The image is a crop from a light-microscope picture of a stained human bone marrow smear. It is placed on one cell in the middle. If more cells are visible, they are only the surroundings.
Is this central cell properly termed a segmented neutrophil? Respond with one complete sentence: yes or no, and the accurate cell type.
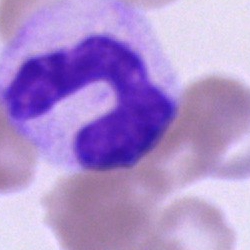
No, it is a band neutrophil rather than a segmented neutrophil that the middle of the crop contains.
